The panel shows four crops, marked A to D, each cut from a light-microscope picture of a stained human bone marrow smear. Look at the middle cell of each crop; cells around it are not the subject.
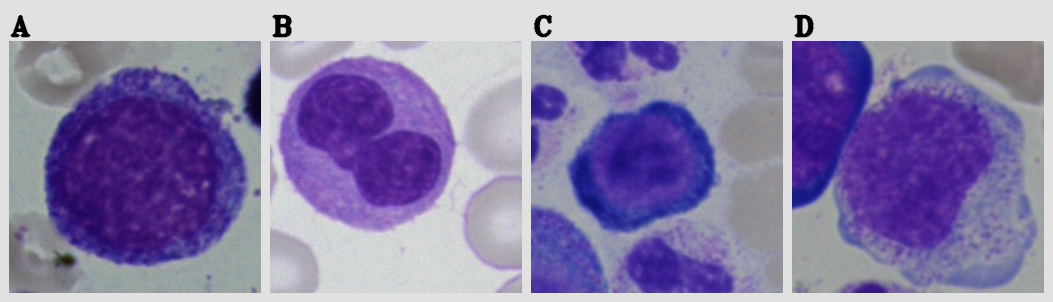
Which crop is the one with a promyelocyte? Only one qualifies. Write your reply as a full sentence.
Crop A shows a promyelocyte, and no other crop does.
